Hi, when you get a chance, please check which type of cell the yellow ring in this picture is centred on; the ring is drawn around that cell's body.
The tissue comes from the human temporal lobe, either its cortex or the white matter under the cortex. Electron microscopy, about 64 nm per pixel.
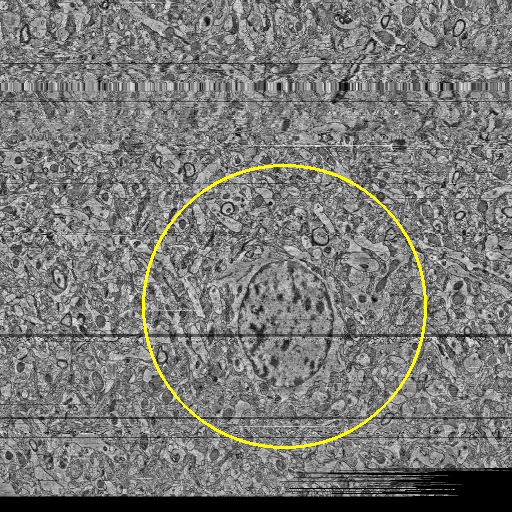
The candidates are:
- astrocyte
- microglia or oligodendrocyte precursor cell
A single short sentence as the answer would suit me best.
The ring is drawn around the body of an astrocyte.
